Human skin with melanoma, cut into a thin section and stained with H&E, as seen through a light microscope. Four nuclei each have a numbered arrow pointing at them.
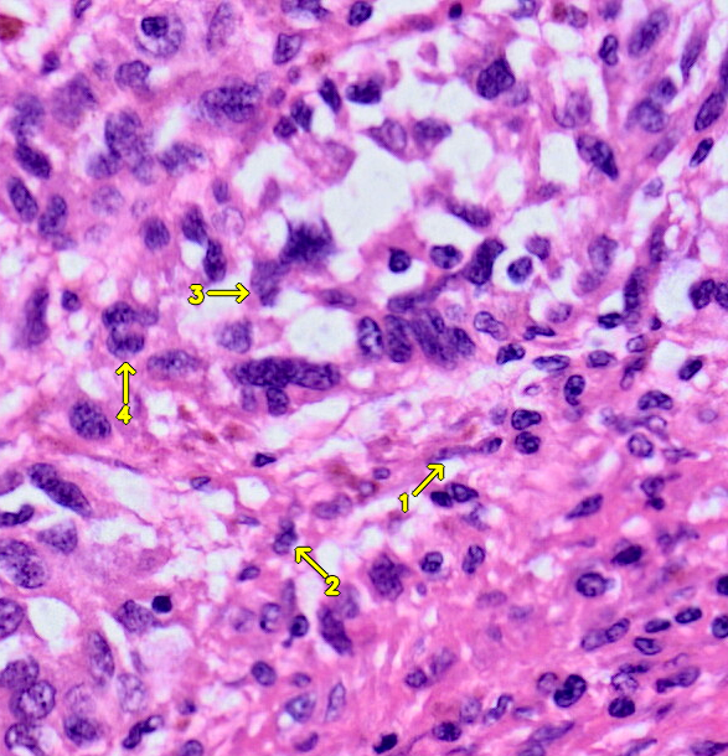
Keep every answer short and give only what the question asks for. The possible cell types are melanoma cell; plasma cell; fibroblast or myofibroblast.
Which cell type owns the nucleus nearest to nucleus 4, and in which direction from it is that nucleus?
a melanoma cell; above nucleus 4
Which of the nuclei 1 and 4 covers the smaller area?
1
